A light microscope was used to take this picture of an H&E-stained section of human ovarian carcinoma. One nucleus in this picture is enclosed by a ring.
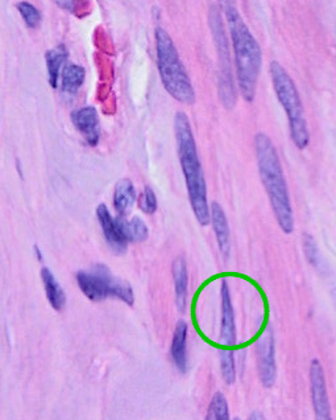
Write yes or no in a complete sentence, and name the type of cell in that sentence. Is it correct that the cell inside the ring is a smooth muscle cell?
Yes, the naming of the cell inside the ring as a smooth muscle cell is correct.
